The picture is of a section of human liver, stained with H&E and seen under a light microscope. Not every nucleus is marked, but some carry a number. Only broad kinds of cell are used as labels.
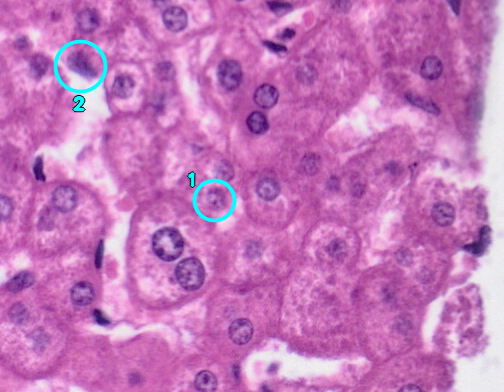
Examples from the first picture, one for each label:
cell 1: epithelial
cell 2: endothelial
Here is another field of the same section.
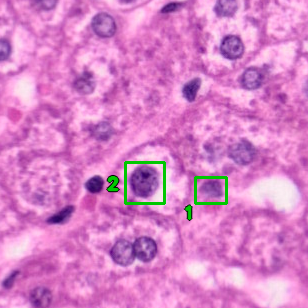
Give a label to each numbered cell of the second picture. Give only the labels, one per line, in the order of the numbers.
endothelial
epithelial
